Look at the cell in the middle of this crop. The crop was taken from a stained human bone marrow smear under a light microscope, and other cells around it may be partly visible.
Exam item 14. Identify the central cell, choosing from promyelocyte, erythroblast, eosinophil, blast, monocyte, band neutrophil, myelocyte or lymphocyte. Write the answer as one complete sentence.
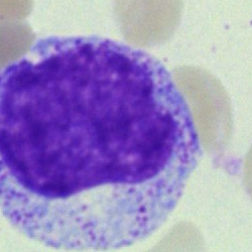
The cell at the central position in this crop is a myelocyte.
